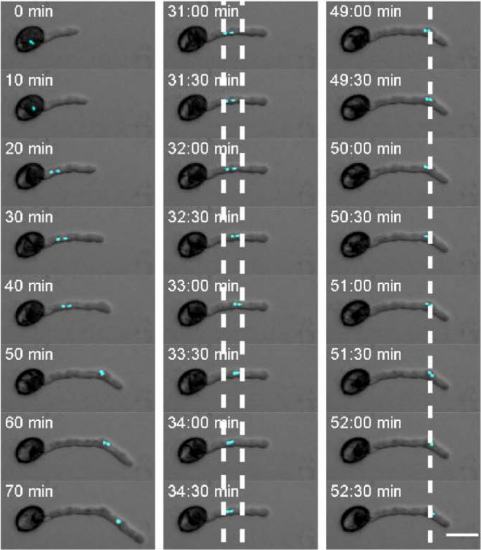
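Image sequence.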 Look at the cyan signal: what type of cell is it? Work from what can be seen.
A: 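Sperm cells. Small cyan spots lie inside a long tubular extension from a large dark rounded body. The cyan spots change position along the tube across the frames.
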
